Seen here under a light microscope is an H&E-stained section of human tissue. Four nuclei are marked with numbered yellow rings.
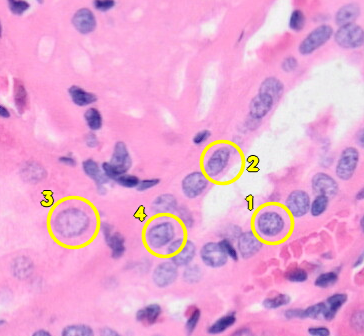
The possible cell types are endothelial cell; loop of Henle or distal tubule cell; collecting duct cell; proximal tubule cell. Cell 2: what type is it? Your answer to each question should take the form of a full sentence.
The cell bearing label 2 corresponds to a collecting duct cell.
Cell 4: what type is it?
Number 4 among the marked cells is a collecting duct cell.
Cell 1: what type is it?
What the number 1 marks in this field is a collecting duct cell.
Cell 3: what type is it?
The numbered cell 3 is identified here as a proximal tubule cell.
